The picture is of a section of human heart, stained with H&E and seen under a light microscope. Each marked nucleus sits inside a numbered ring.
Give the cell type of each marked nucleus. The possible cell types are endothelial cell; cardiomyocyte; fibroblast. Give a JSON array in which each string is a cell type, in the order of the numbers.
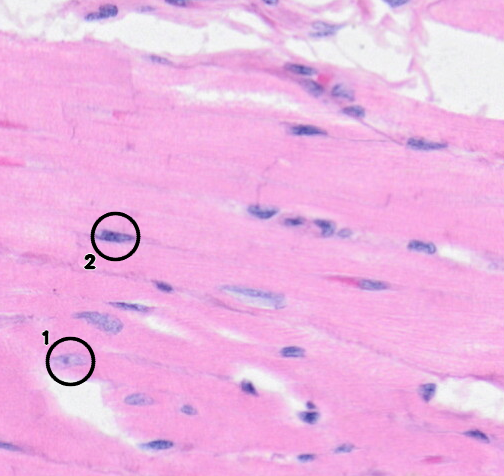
["cardiomyocyte", "endothelial cell"]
